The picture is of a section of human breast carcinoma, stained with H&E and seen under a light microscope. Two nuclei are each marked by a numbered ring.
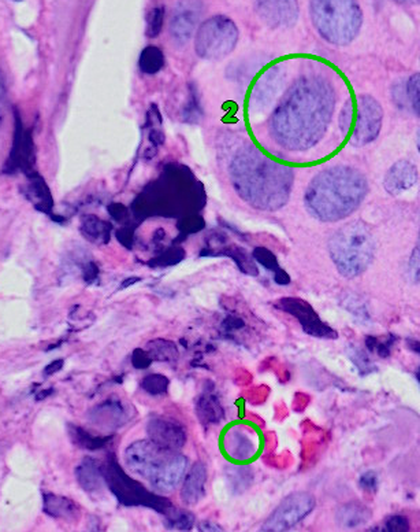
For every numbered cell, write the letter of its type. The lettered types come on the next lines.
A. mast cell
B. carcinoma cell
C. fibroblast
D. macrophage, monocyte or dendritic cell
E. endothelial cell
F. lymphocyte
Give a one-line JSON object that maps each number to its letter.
{"1": "E", "2": "B"}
